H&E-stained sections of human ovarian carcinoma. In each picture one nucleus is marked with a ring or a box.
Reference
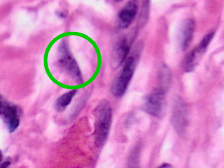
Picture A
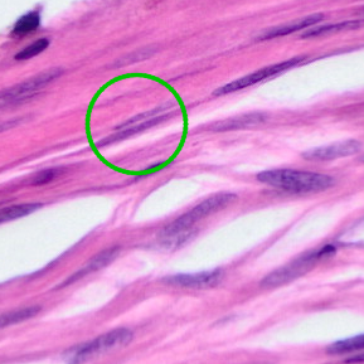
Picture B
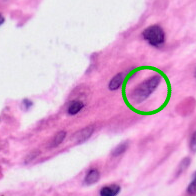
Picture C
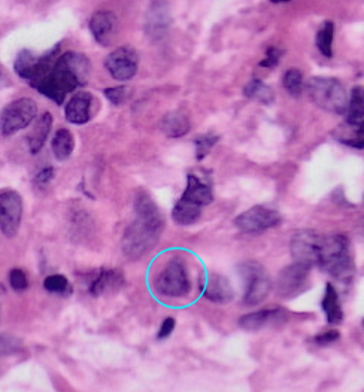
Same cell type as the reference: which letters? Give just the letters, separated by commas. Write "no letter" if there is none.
A, B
